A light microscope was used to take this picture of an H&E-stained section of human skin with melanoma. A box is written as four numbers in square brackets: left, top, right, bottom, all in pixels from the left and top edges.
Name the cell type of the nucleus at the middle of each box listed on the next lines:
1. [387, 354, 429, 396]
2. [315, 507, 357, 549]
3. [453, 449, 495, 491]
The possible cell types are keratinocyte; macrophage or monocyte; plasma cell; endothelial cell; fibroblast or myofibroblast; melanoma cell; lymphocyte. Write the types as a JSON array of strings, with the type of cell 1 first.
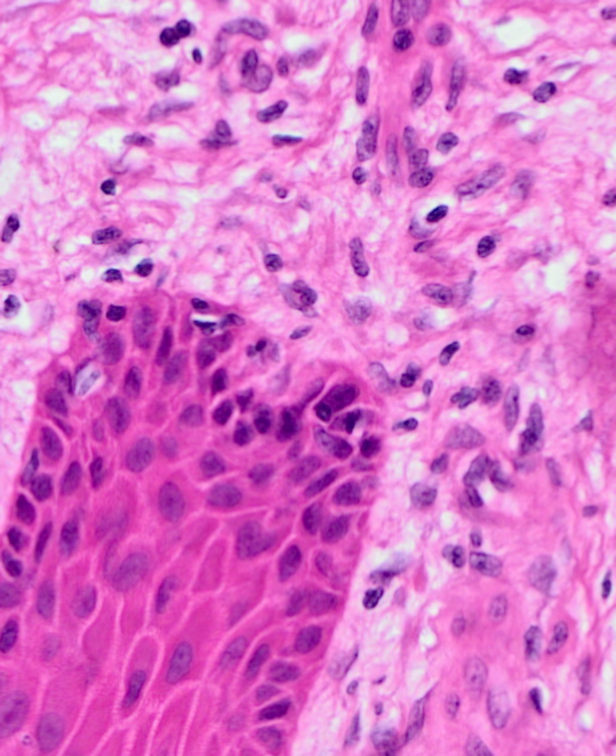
["lymphocyte", "keratinocyte", "endothelial cell"]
